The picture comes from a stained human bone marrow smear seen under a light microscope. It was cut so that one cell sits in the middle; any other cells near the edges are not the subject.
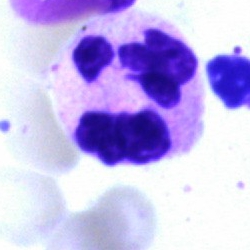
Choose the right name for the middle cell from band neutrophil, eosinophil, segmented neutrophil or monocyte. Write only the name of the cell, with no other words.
segmented neutrophil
